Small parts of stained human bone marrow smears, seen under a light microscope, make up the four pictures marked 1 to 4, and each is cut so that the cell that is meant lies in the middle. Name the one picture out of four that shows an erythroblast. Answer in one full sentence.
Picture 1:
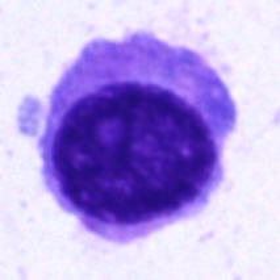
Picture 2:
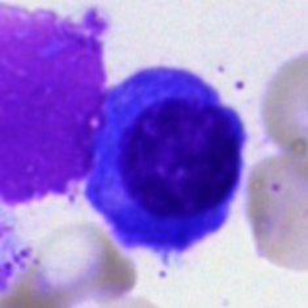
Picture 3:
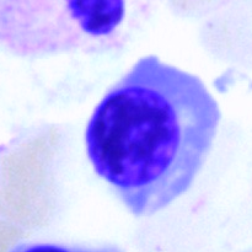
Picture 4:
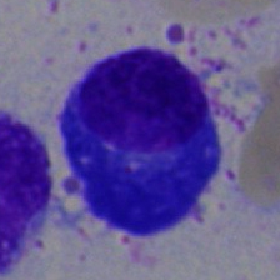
The erythroblast is the one in picture 3.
